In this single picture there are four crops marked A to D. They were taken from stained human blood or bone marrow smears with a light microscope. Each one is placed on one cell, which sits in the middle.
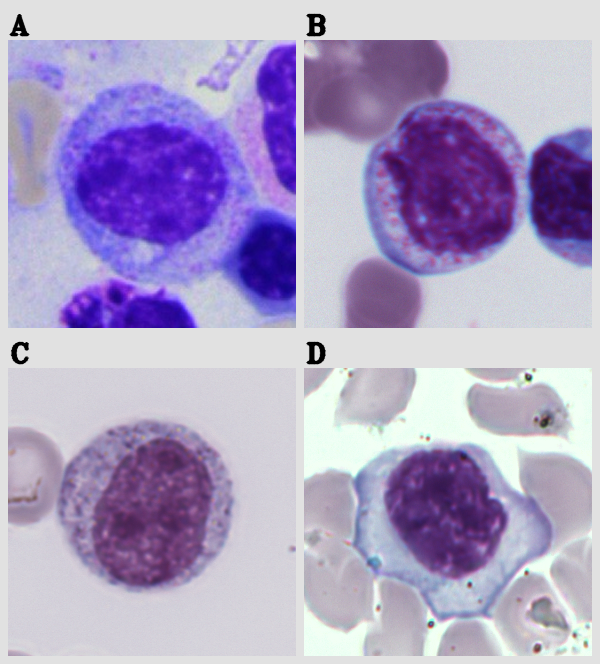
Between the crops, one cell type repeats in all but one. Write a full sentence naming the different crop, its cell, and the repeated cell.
All the crops show myelocytes, barring crop D, which is a plasma cell.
